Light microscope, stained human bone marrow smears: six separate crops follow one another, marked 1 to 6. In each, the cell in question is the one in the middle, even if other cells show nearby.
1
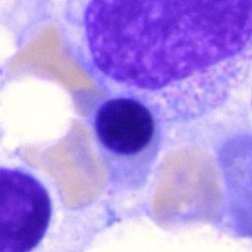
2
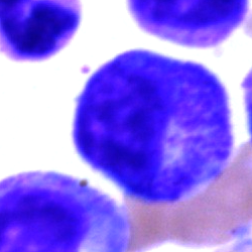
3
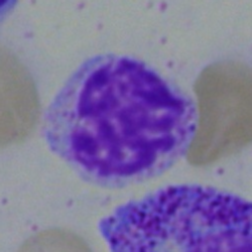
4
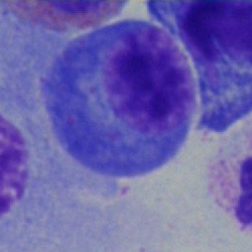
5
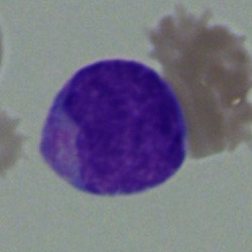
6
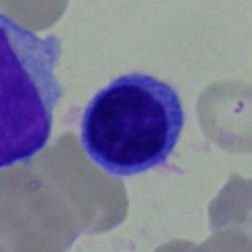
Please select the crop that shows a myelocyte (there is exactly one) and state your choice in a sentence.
So the crop with a myelocyte at its center is crop 3.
